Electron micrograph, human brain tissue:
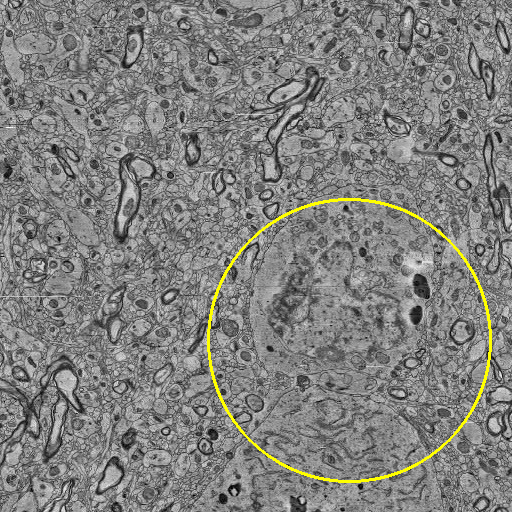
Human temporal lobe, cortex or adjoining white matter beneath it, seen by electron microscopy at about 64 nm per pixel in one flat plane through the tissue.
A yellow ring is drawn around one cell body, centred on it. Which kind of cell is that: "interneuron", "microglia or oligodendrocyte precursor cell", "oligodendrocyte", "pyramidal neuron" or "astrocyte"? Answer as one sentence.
It is an interneuron at the centre of the ring.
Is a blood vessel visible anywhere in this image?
No, the picture includes no blood vessel.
